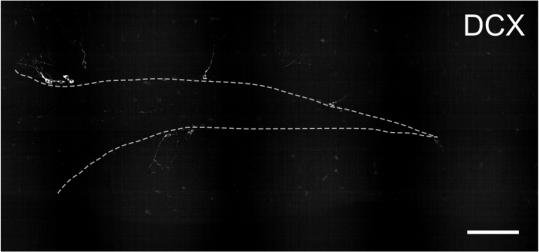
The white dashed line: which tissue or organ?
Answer: Granule cell layer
